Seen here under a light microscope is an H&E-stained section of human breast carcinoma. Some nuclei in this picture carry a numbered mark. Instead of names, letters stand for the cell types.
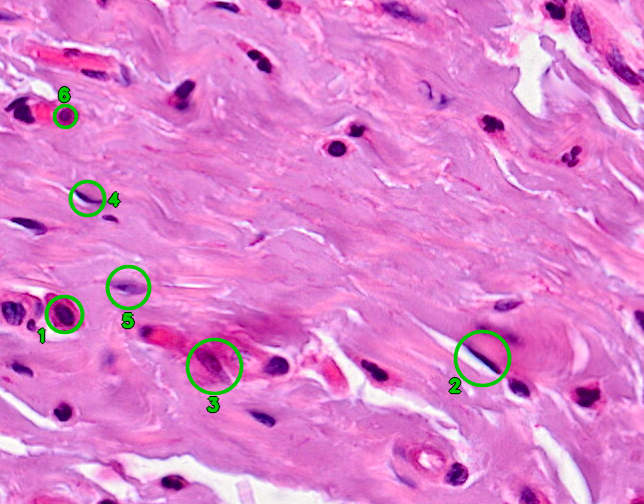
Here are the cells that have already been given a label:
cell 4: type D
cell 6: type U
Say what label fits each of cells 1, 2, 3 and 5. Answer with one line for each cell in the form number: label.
1: type U
2: type D
3: type D
5: type D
